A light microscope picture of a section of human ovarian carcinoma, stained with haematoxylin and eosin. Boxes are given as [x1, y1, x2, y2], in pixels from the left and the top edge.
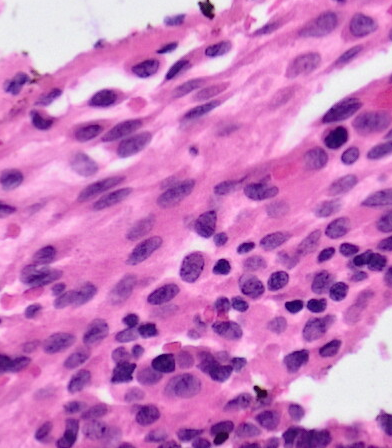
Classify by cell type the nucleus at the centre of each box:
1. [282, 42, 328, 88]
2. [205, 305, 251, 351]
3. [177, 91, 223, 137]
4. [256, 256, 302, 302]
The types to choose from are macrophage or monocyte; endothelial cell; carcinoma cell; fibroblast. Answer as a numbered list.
1. fibroblast
2. macrophage or monocyte
3. fibroblast
4. macrophage or monocyte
